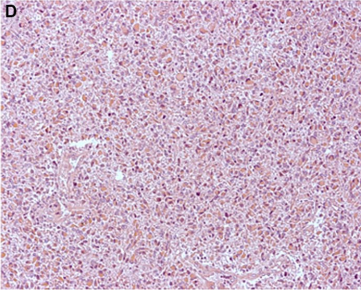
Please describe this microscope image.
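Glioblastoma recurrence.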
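This is a densely cellular tumour of the brain: the whole field is filled with closely packed cells with pinkish cytoplasm and darker purple nuclei, with almost no intervening neural tissue left. The cells are not uniform; their nuclei differ in size and shape and some cells look larger and more rounded than their neighbours, giving a disorderly, polymorphic look. A few thin pale slits and small spaces run through the sheet, likely vascular channels. There is no layering or normal grey- or white-matter pattern, only a continuous sheet of crowded neoplastic cells.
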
